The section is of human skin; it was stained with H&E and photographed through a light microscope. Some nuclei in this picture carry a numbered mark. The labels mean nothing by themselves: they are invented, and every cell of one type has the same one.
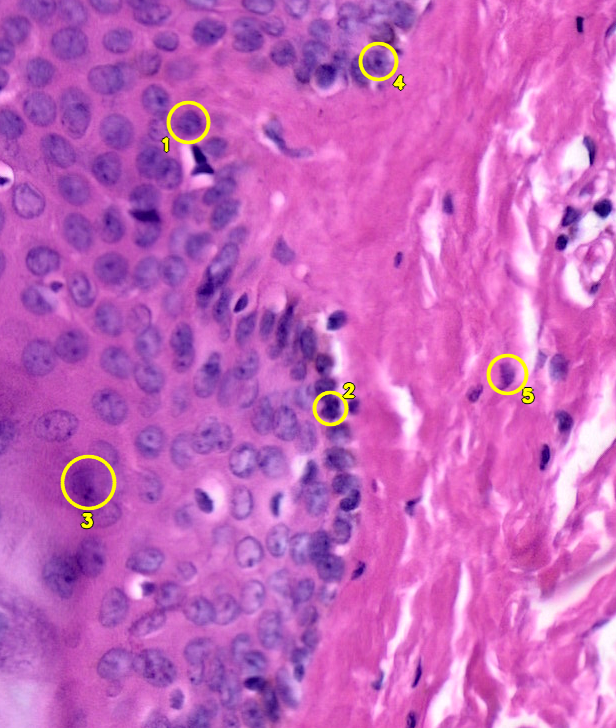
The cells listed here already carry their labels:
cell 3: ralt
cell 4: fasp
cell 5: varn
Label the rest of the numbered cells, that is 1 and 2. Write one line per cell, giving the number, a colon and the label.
1: fasp
2: fasp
